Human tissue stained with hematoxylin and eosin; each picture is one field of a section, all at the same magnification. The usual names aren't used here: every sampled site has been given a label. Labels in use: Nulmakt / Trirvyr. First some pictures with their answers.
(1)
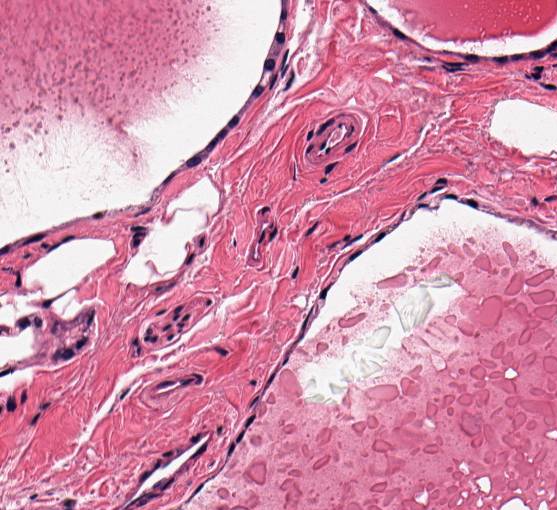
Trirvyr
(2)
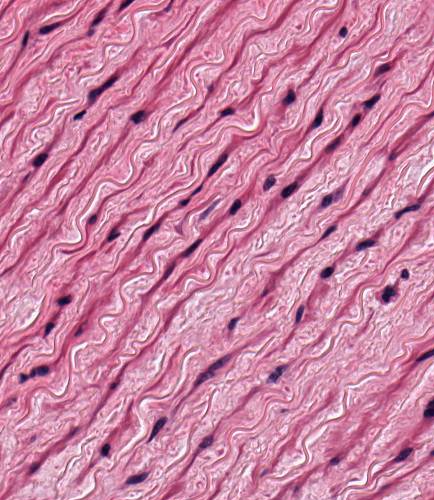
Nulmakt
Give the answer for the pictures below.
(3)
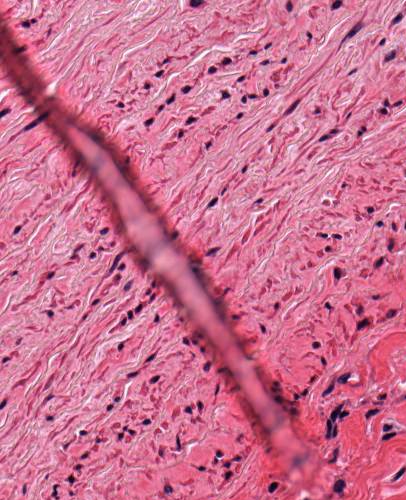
Nulmakt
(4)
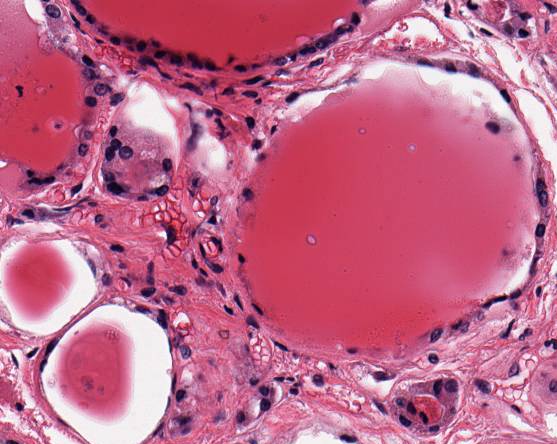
Trirvyr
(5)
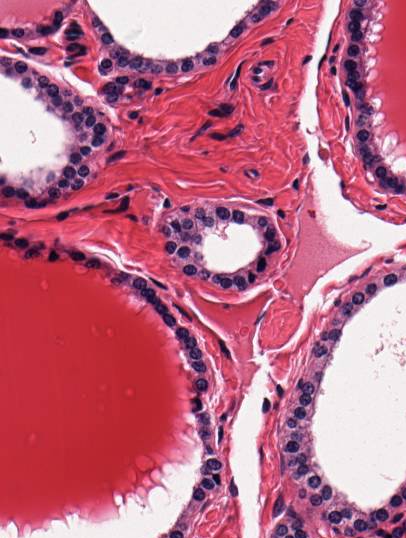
Trirvyr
